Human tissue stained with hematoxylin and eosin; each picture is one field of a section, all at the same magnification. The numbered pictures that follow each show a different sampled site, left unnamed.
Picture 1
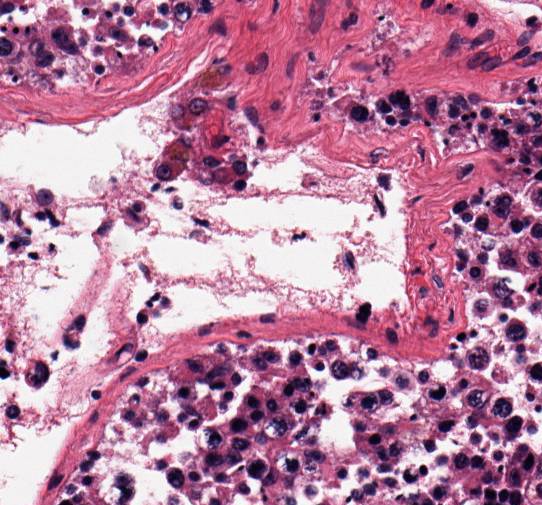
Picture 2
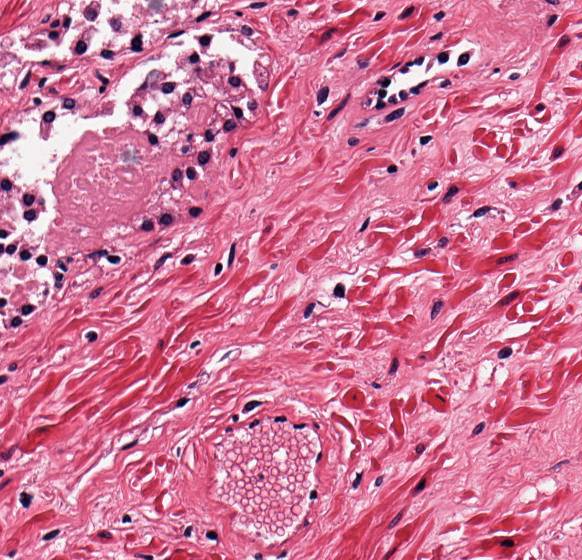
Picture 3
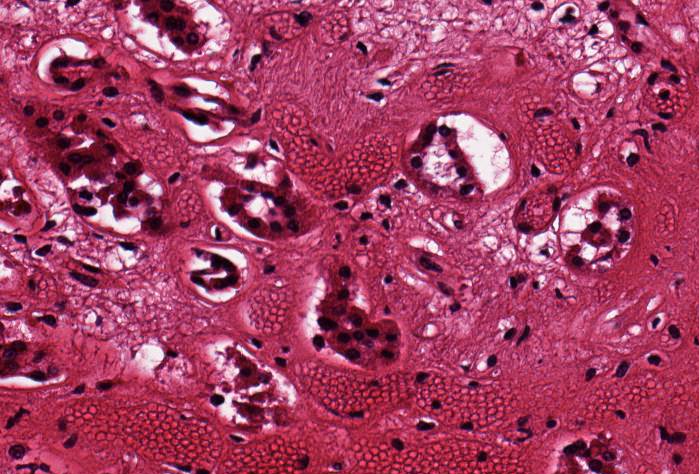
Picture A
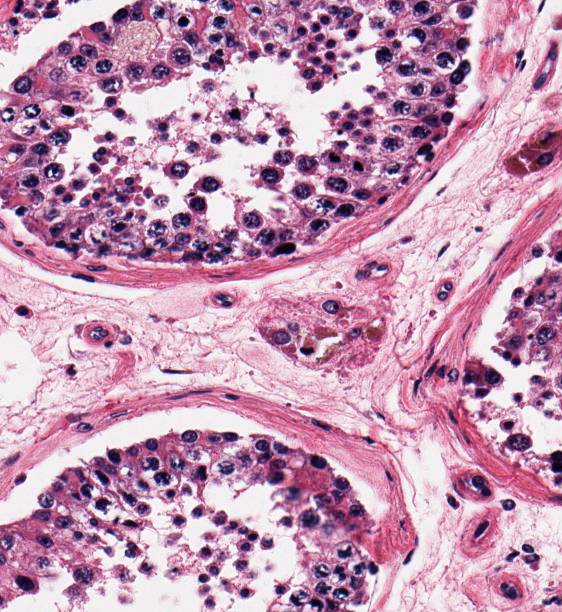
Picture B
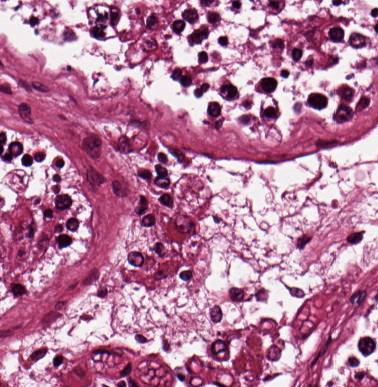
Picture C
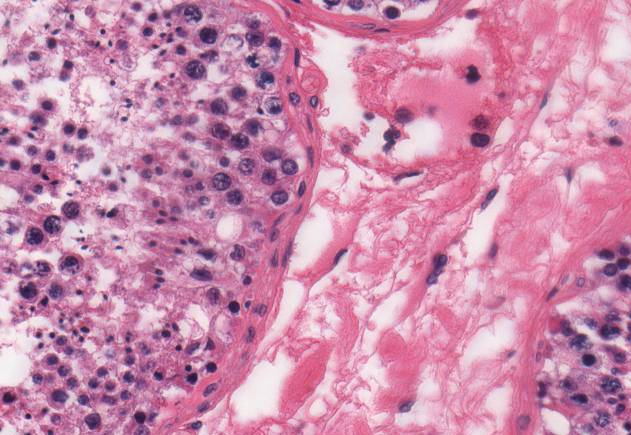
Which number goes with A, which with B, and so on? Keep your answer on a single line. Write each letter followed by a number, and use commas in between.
A 1, B 1, C 1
